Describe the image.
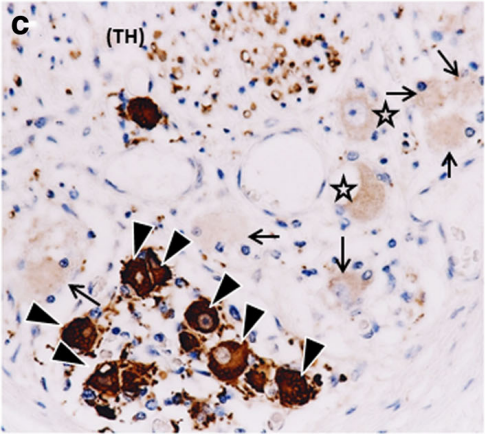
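This is a small autonomic ganglion with a cluster of large, round ganglion cells whose cytoplasm is stained dark brown, several showing a central round nucleus with a nucleolus. Other large ganglion cells elsewhere in the field are only pale, and small blue nuclei of surrounding cells lie between them. Above the cluster, many small brown dots mark cross-cut nerve fibers.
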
